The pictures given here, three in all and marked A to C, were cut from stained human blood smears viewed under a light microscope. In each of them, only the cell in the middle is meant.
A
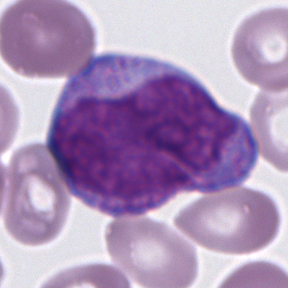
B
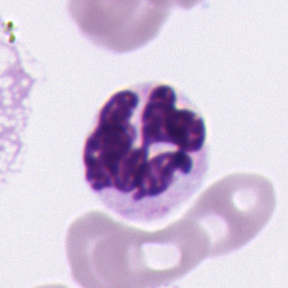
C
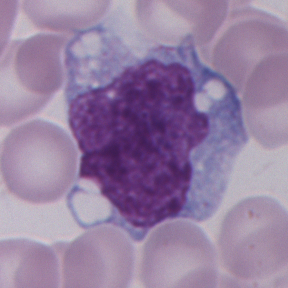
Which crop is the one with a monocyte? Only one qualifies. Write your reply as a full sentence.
Look at crop C; that is the one with a monocyte in its center.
